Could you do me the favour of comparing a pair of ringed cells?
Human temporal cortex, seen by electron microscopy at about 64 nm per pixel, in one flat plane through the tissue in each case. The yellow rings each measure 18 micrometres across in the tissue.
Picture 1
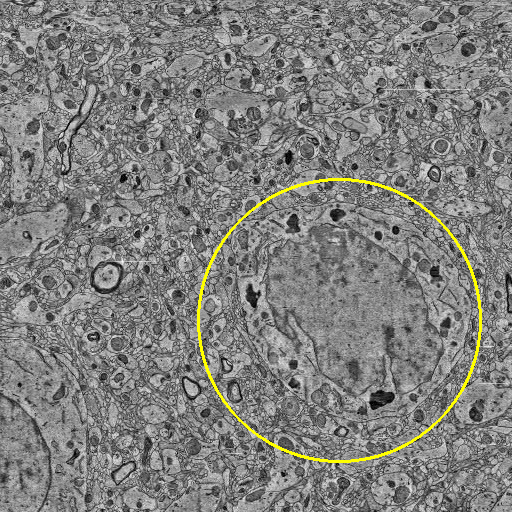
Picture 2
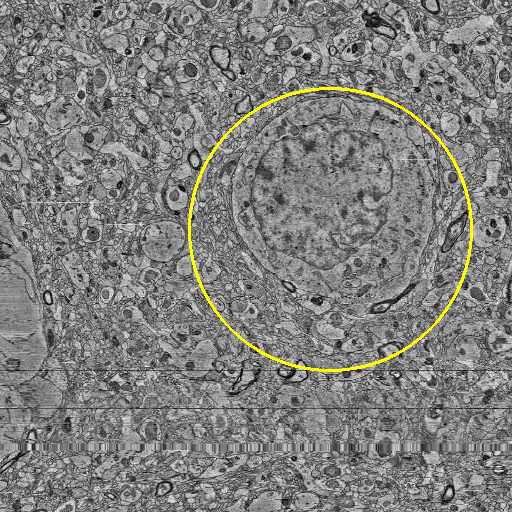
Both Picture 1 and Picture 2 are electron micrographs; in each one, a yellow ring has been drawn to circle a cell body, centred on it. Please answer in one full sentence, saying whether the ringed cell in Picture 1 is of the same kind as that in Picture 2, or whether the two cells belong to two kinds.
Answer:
The ringed cell in Picture 1 is of the same kind as that in Picture 2.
